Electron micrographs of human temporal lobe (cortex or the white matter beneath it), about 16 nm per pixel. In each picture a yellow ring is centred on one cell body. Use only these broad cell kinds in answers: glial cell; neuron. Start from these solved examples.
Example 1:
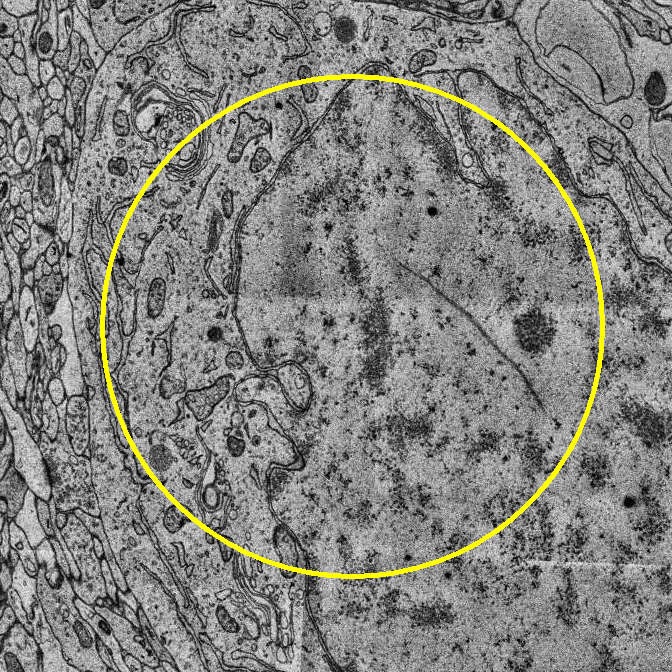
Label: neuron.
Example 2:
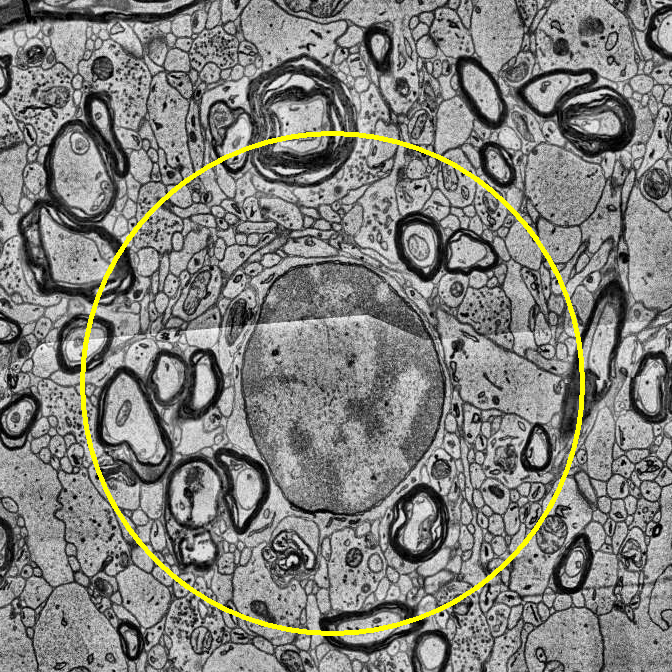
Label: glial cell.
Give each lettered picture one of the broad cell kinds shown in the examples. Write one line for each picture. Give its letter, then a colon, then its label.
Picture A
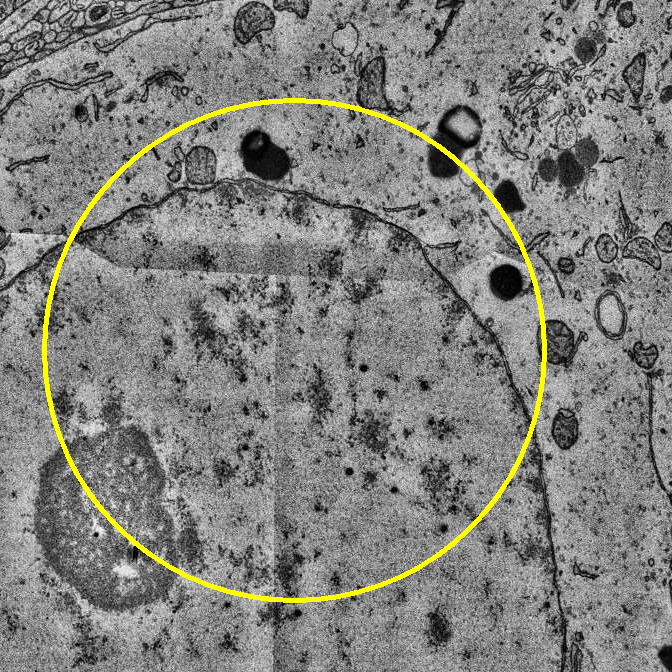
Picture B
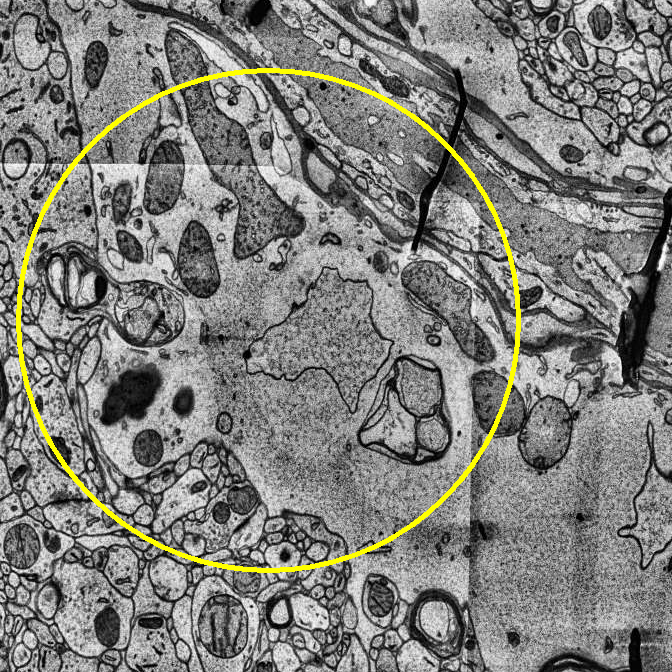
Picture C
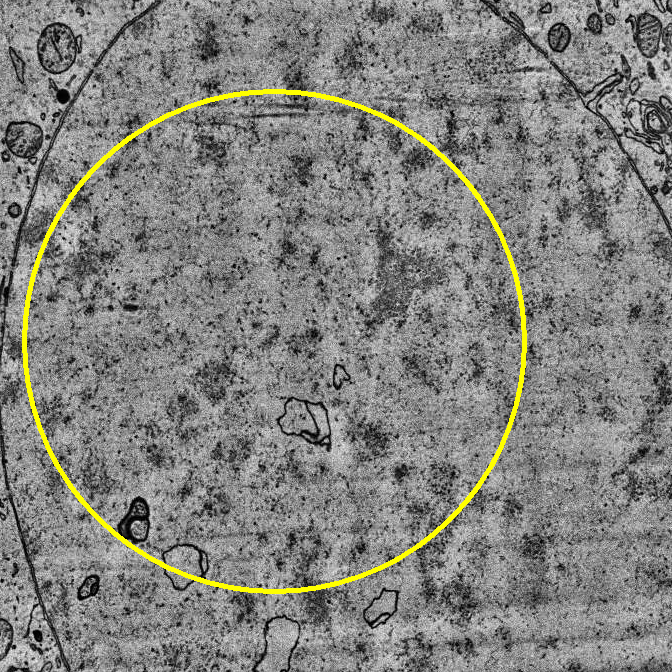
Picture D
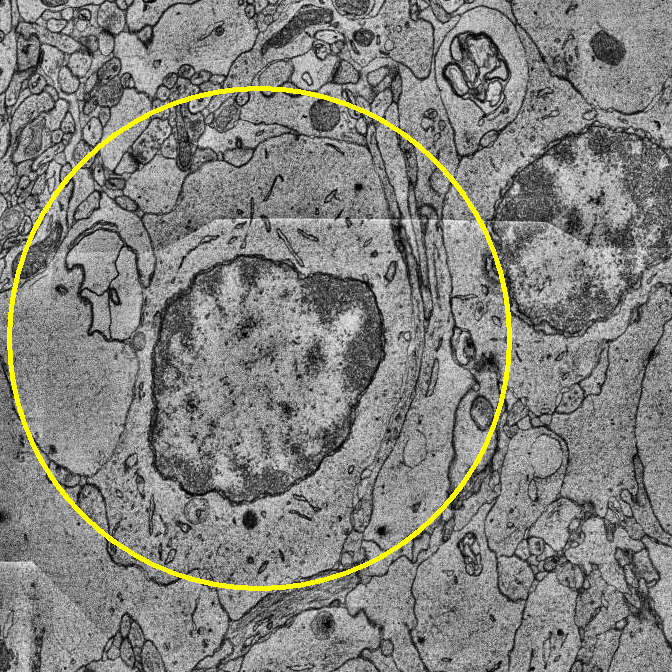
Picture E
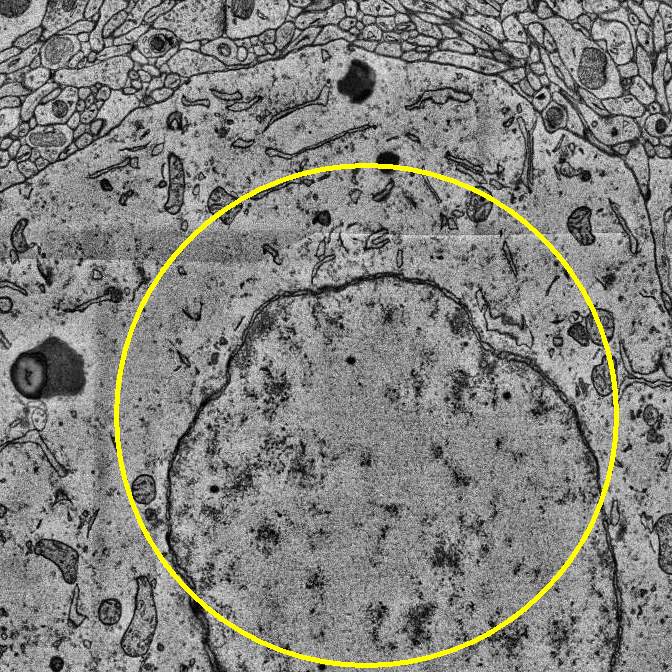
A: neuron.
B: glial cell.
C: neuron.
D: glial cell.
E: neuron.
